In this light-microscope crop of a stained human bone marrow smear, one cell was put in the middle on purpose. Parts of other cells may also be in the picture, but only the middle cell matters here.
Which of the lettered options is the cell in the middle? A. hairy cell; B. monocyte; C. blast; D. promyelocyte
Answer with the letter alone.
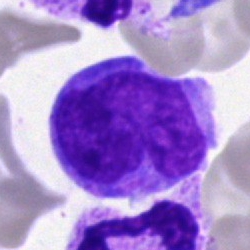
B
